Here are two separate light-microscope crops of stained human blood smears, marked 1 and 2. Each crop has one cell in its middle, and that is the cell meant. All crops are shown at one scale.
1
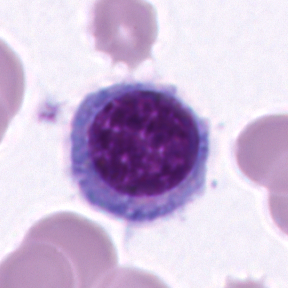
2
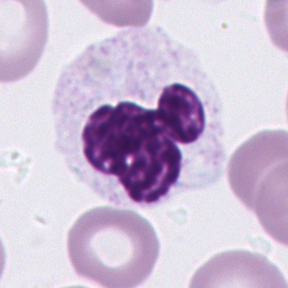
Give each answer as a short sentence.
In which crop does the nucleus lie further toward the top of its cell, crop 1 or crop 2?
It is the nucleus in crop 1 that lies further toward the top of its cell.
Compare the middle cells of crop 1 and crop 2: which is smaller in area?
Crop 1 holds the smaller cell, since the cell in crop 2 covers about 1.5 times as much area.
